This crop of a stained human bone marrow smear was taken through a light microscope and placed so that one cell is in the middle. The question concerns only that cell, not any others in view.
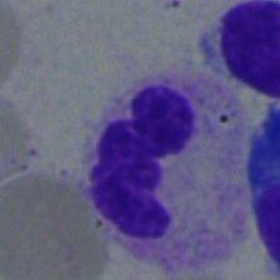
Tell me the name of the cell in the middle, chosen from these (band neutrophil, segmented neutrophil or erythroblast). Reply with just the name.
segmented neutrophil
